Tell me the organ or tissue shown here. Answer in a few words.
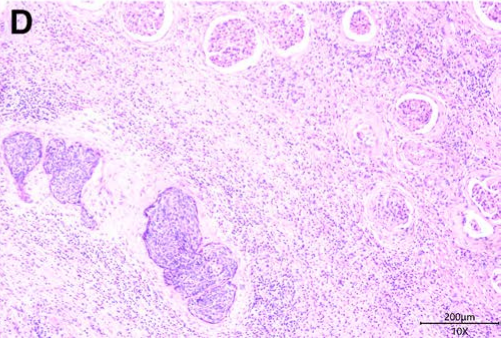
Renal parenchyma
